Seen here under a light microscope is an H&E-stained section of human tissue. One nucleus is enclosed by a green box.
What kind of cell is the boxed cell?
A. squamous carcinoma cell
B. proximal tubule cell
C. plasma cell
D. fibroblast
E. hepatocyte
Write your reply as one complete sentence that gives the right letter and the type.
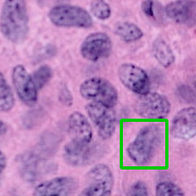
The right pick is option A; the boxed cell is a squamous carcinoma cell.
